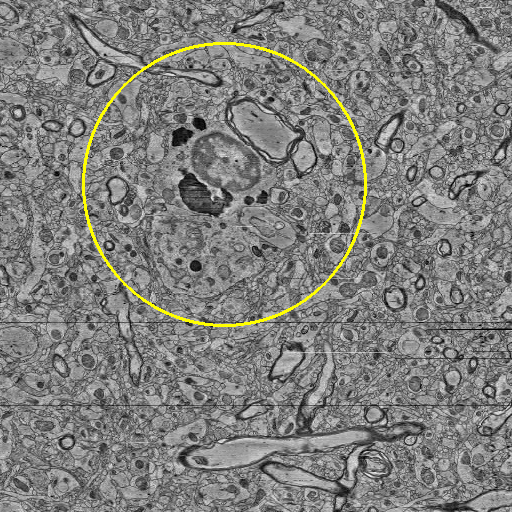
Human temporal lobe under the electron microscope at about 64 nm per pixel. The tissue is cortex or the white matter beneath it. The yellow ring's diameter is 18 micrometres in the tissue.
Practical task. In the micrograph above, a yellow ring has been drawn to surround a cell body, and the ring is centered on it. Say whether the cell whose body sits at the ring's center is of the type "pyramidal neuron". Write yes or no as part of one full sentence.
No, the cell at the center of the ring above is of another type.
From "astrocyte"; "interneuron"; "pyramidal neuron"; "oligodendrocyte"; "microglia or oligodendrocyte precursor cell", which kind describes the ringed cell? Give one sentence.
The cell at the middle of the ring is an oligodendrocyte.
